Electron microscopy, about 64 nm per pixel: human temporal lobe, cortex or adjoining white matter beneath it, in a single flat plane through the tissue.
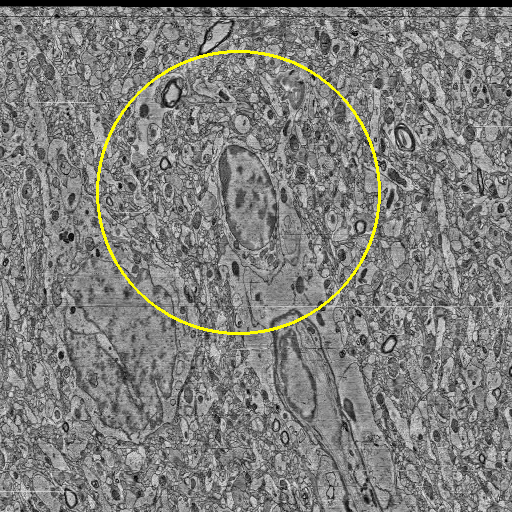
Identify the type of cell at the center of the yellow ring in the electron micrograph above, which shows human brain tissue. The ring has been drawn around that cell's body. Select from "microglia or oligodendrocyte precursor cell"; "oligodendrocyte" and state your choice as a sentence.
The yellow ring is centered on the body of a microglial cell or oligodendrocyte precursor cell.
